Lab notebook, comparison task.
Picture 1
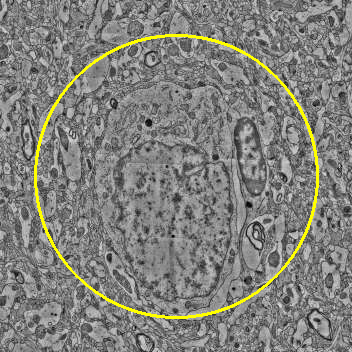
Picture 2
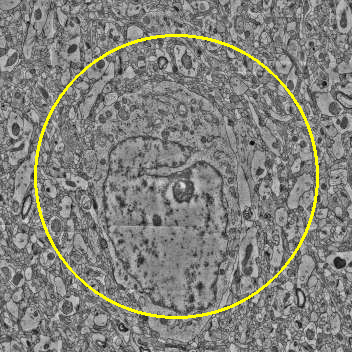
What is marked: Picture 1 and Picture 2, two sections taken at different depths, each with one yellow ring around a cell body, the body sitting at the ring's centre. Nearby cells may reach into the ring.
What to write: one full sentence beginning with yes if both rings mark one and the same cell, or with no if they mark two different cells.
Yes, both rings are placed on a single cell.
